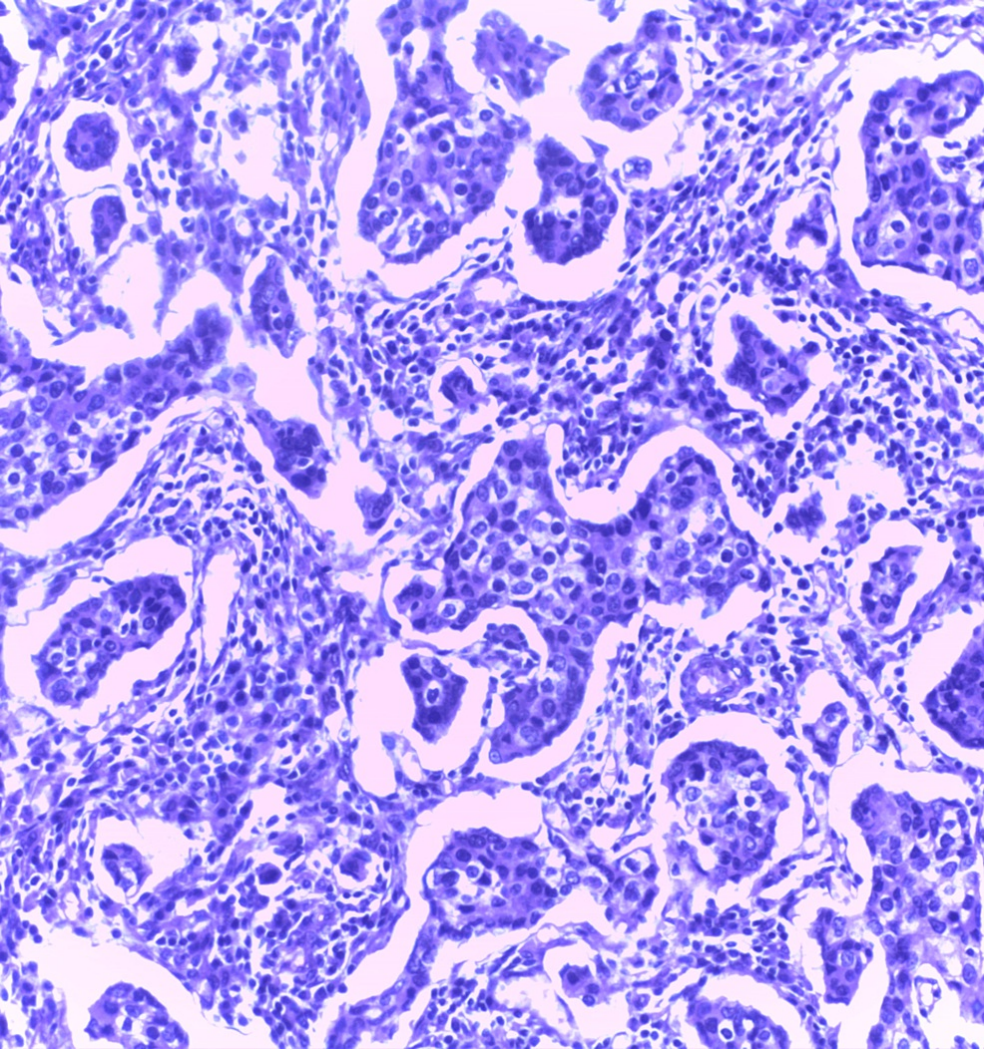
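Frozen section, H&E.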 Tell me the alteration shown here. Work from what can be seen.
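Cohesive clusters of large atypical epithelial cells lie within a cellular stroma. The epithelial clusters are surrounded by clear retraction spaces. The clusters infiltrate the stroma without an organised glandular or lobular pattern. So: invasive carcinoma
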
